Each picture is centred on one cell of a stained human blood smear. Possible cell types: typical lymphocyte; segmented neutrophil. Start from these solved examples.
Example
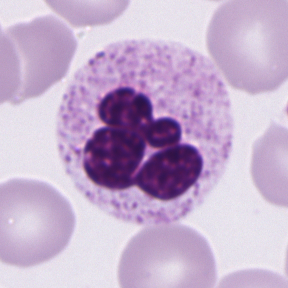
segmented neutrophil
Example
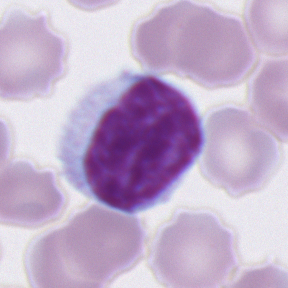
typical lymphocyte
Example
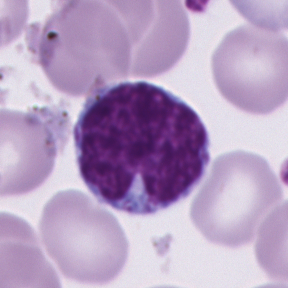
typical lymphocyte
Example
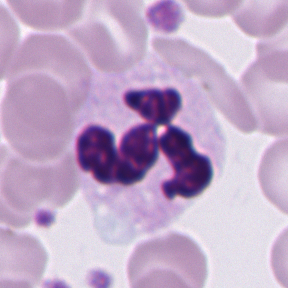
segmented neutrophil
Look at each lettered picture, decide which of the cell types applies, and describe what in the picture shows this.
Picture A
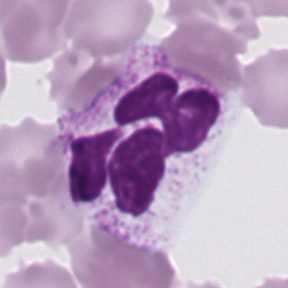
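Label: segmented neutrophil. The cytoplasm is plentiful and very pale, almost colourless.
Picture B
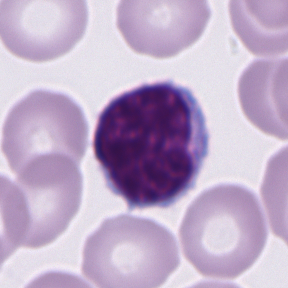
Label: typical lymphocyte. The cytoplasm forms a thin rim that is widest on the right side.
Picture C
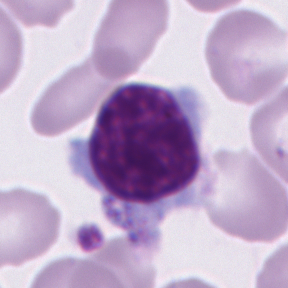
Label: typical lymphocyte. The nucleus fills most of the cell.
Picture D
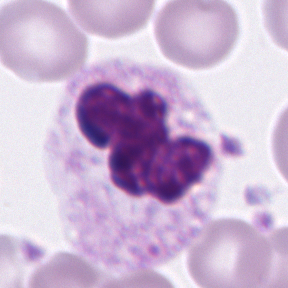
Label: segmented neutrophil. The cytoplasm is abundant and pale pinkish-lilac.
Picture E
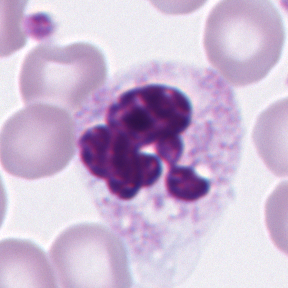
Label: segmented neutrophil. The nucleus is split into more than three separate lobes.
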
